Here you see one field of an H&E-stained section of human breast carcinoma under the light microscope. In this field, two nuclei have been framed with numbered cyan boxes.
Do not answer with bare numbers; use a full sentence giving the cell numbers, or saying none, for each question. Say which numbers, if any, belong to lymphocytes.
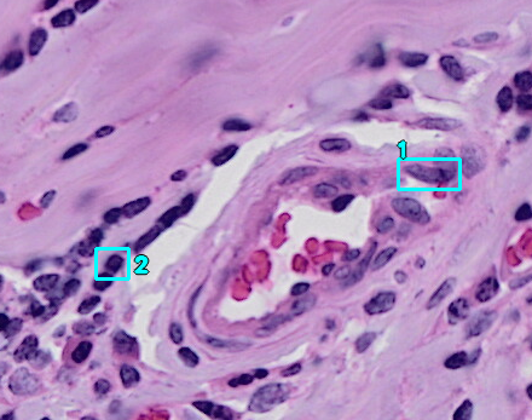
Unlike the other numbered cells, cell 2 is a lymphocyte.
